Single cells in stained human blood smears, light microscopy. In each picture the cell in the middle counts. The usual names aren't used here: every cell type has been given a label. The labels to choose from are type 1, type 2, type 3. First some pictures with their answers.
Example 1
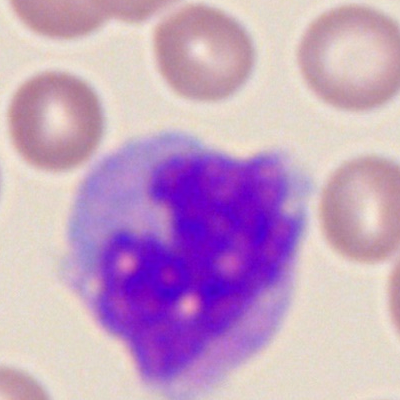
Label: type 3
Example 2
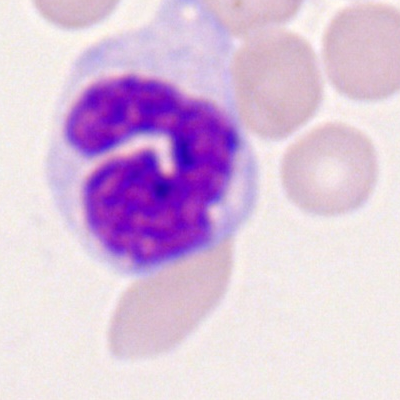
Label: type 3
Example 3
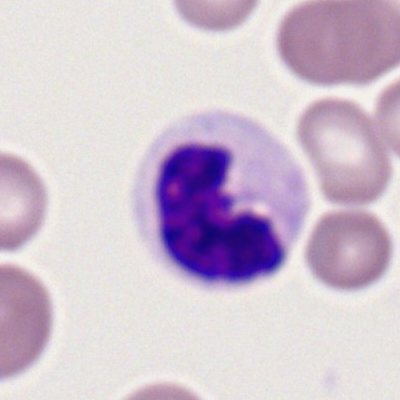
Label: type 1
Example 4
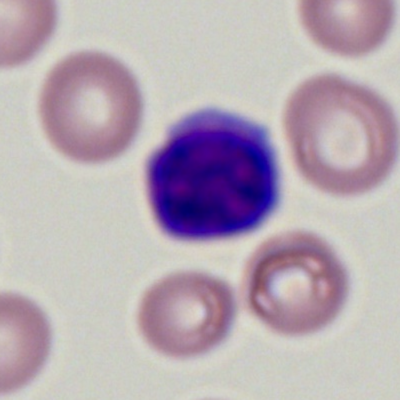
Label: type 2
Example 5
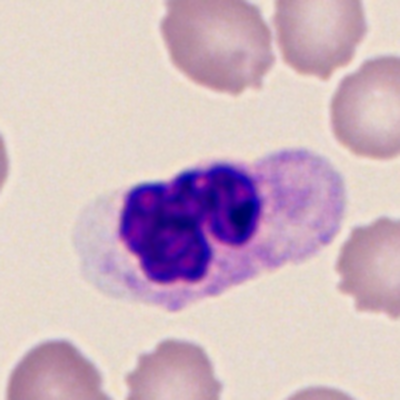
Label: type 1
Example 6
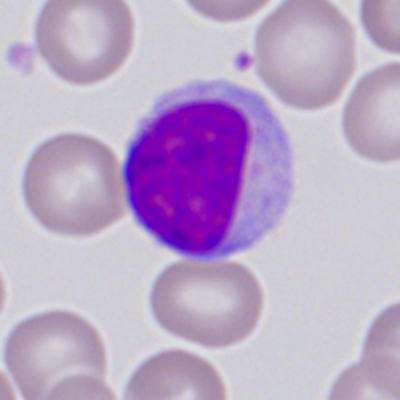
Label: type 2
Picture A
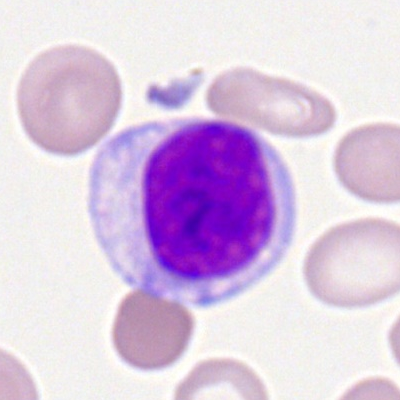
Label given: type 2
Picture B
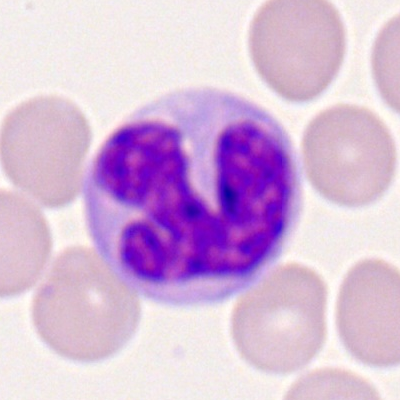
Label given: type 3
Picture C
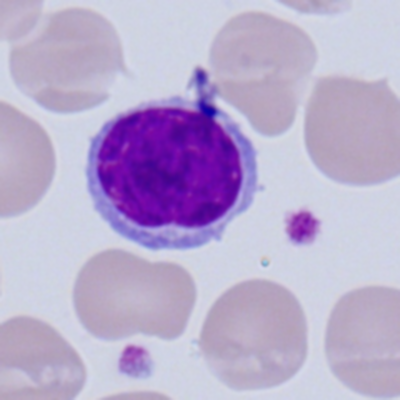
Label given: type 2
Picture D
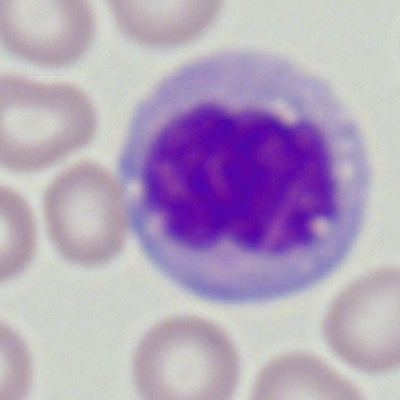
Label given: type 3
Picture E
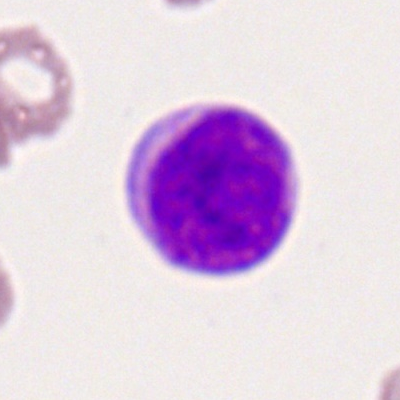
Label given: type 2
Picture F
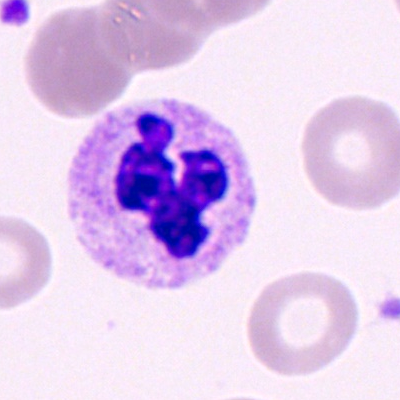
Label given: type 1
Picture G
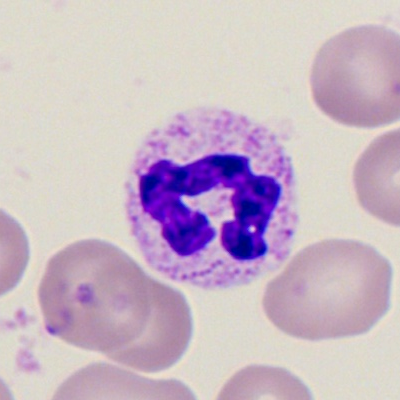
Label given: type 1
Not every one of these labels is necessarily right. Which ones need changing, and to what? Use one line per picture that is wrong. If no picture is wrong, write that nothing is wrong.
No label is wrong.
